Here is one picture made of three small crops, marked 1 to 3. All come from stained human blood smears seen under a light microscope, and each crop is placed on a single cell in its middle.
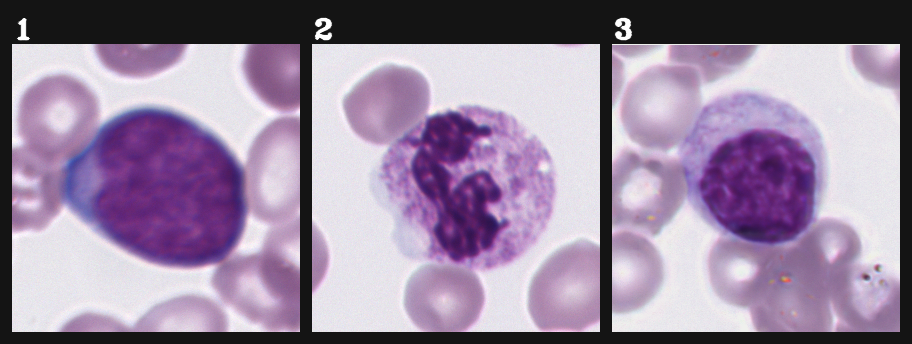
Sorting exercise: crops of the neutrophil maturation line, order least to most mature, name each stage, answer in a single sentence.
The maturity sequence, least mature to most mature, is crop 1 (a myeloblast), crop 3 (a myelocyte) and crop 2 (a segmented neutrophil).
